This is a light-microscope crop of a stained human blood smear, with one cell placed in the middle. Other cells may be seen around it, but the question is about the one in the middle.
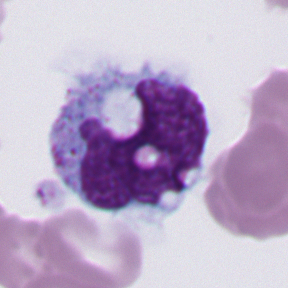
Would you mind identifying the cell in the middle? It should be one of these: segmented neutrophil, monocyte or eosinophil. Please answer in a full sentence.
The cell centered in this field of view is a monocyte.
